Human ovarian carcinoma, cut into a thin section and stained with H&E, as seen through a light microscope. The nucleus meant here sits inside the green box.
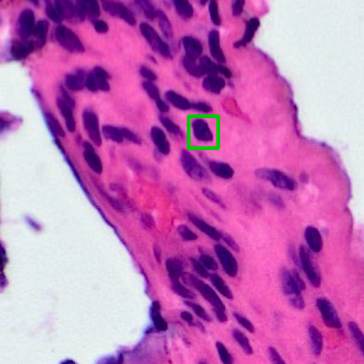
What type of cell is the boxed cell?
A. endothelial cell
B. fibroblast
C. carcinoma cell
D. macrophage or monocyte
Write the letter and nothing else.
D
